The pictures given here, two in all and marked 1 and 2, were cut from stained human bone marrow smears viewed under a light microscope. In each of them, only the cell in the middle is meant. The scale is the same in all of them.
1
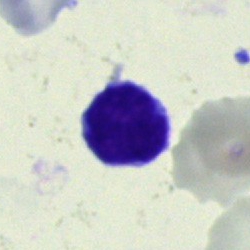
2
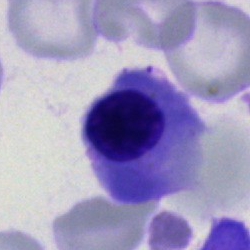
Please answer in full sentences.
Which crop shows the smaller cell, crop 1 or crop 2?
Crop 1 holds the smaller cell, since the cell in crop 2 covers about 2 times as much area.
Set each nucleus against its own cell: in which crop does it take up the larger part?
In crop 1 the nucleus takes up the larger part of its cell.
